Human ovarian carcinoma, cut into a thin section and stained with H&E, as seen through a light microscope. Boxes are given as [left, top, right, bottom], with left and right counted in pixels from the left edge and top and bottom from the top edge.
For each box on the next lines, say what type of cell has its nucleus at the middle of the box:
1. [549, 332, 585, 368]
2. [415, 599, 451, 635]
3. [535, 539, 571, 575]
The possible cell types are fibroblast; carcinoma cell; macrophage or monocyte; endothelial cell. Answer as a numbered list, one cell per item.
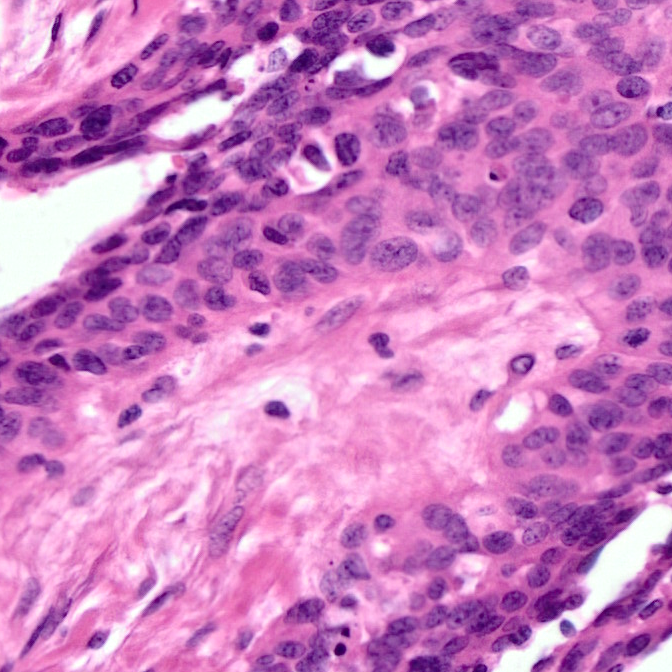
1. macrophage or monocyte
2. carcinoma cell
3. carcinoma cell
